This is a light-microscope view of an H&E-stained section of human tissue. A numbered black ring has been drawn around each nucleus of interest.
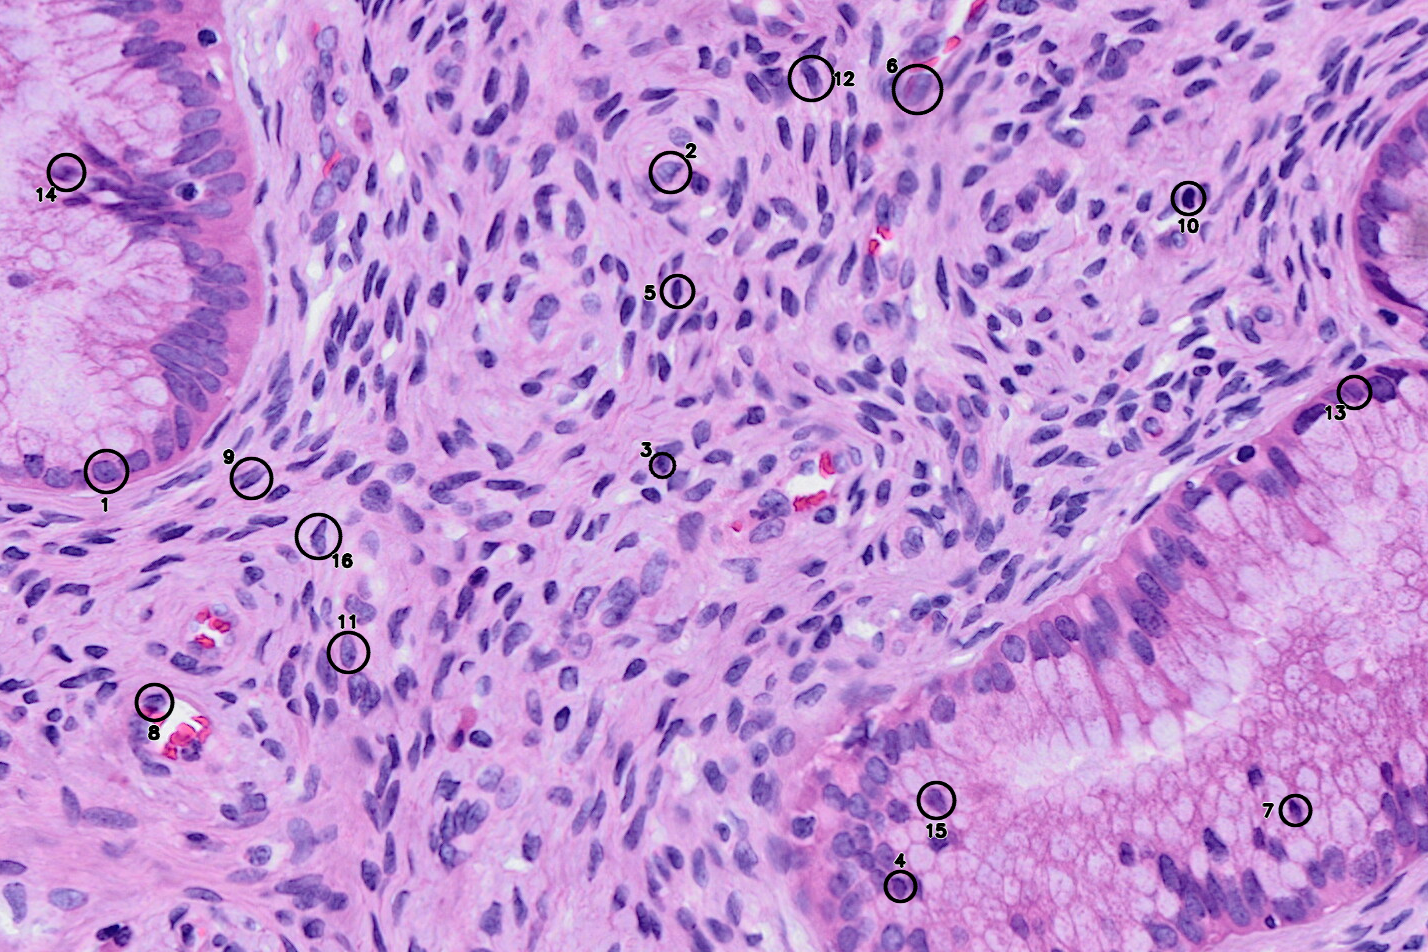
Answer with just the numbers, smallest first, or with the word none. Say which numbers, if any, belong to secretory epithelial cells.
1, 4, 7, 13, 14, 15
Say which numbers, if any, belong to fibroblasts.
3, 5, 9, 12, 16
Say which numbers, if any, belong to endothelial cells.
2, 6, 8, 11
